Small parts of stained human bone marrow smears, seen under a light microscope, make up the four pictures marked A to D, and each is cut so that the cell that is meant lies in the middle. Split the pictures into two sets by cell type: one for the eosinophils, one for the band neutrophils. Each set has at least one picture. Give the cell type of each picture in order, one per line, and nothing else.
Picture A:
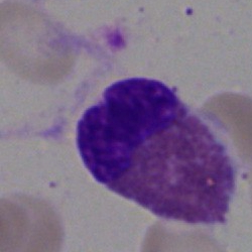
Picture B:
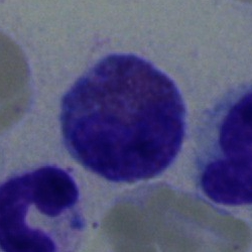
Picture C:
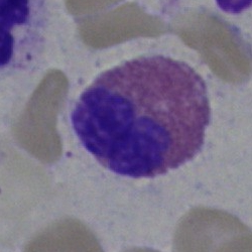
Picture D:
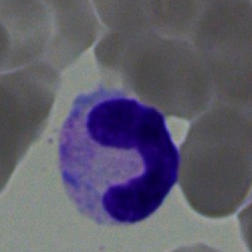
eosinophil
eosinophil
eosinophil
band neutrophil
